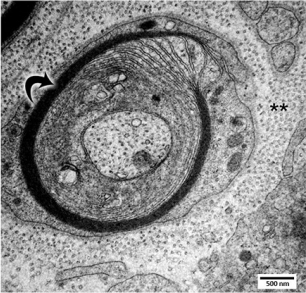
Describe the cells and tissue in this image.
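High-magnification transmission electron micrograph of a single nerve fiber surrounded by Schwann cell cytoplasm in the endoneurium. The axon is enclosed by a thick, dark, layered myelin sheath whose lamellae appear loosened on one side. The pale axoplasm contains small vesicles and organelles. Outside the fiber, the surrounding space is filled with numerous collagen fibrils cut in cross-section as small dots.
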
